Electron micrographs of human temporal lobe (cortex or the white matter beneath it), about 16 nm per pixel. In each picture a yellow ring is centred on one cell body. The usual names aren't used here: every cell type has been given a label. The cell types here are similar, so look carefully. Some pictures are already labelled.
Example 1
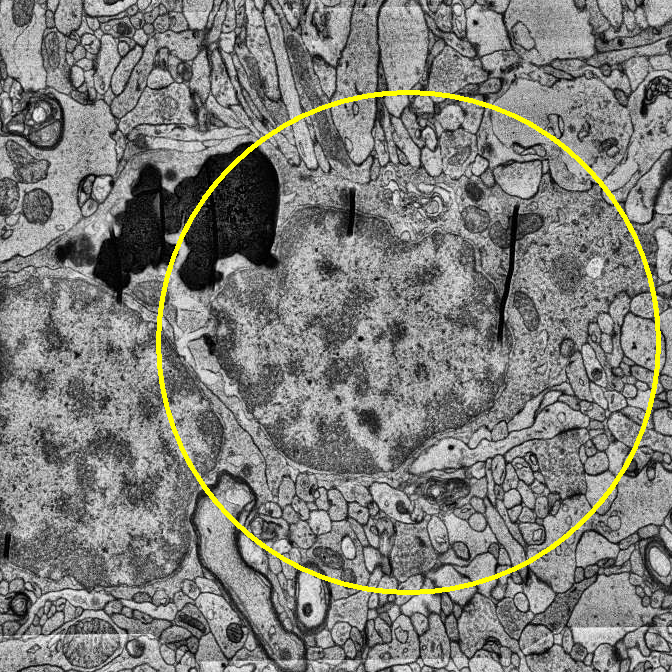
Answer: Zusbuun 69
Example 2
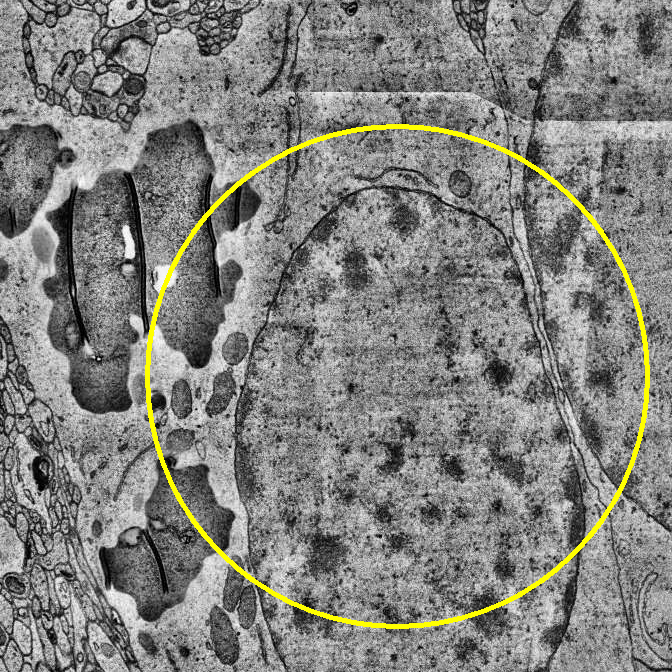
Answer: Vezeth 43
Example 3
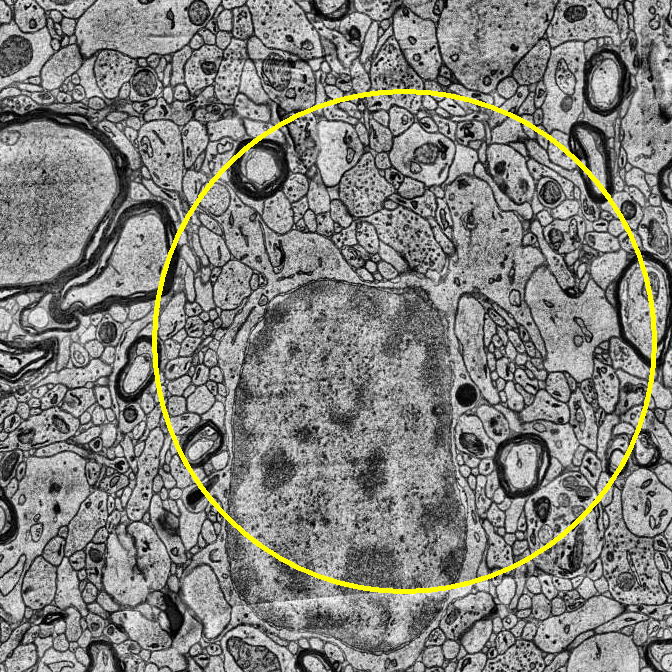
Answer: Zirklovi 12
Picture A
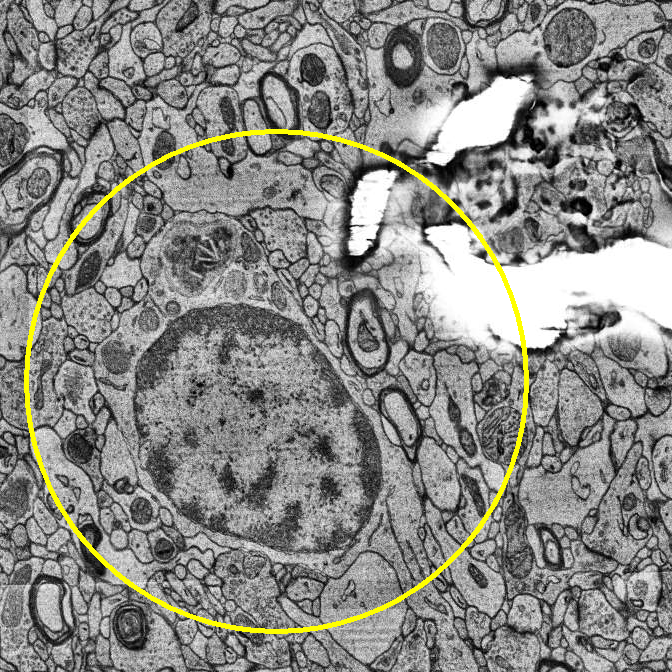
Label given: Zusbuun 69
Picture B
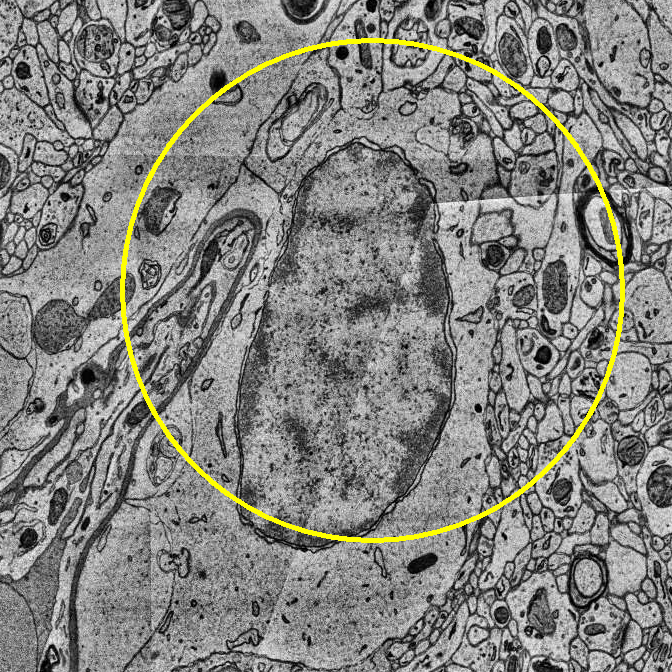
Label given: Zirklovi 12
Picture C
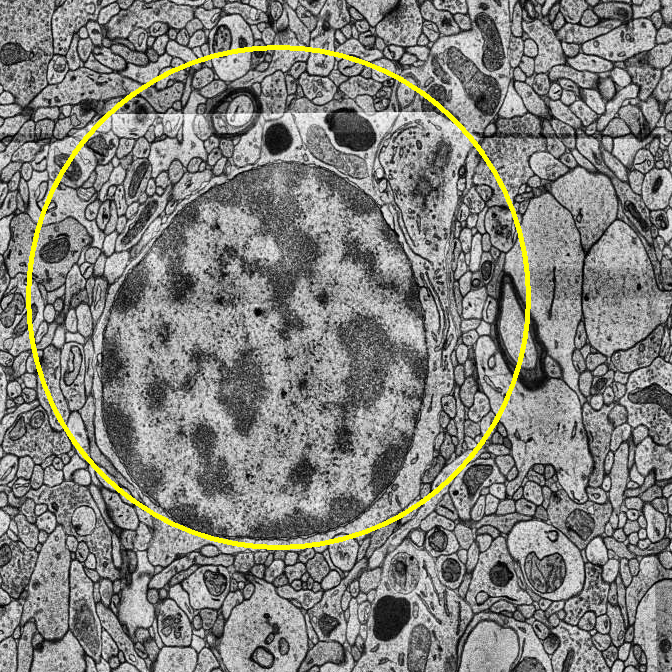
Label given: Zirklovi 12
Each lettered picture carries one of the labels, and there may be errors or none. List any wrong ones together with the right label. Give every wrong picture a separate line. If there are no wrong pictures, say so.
A: not Zusbuun 69 but Zirklovi 12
